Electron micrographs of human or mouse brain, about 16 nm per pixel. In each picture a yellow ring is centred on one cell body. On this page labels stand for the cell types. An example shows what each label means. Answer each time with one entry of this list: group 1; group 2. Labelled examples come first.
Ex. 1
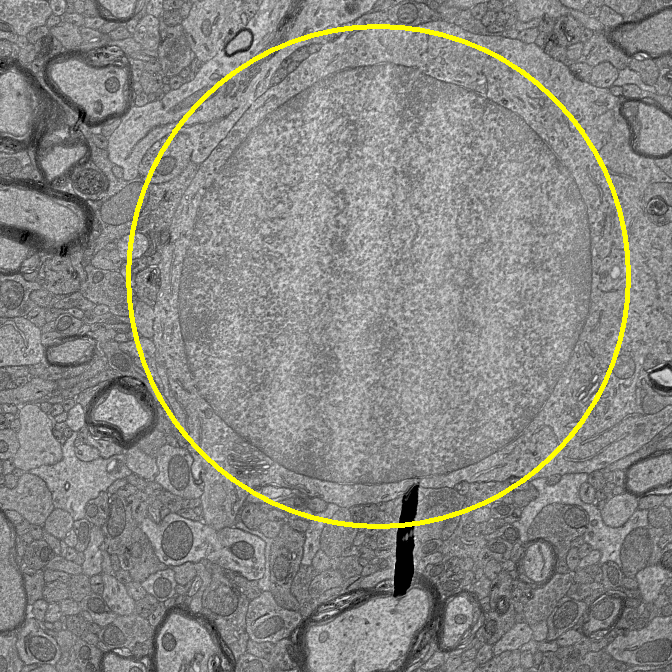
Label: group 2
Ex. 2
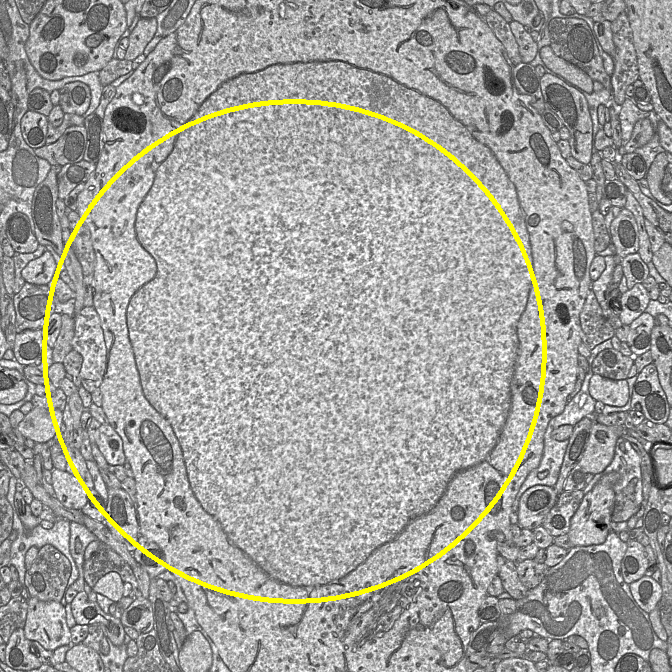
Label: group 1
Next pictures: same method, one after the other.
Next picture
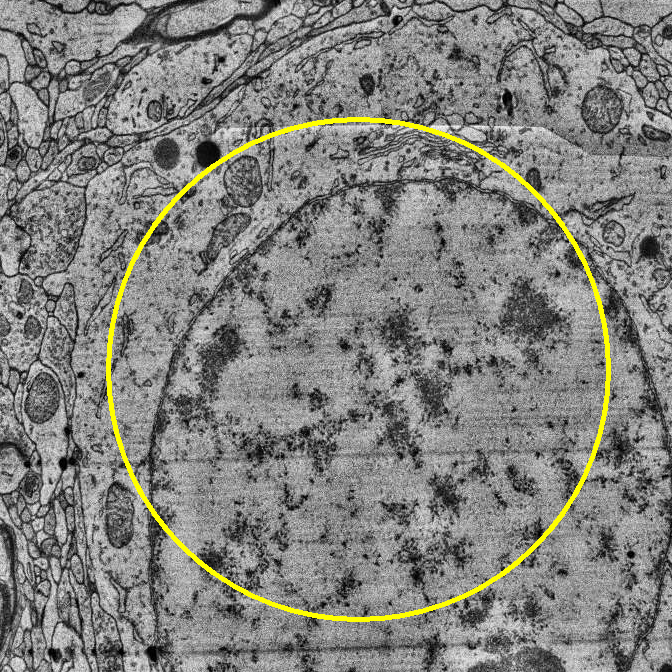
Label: group 1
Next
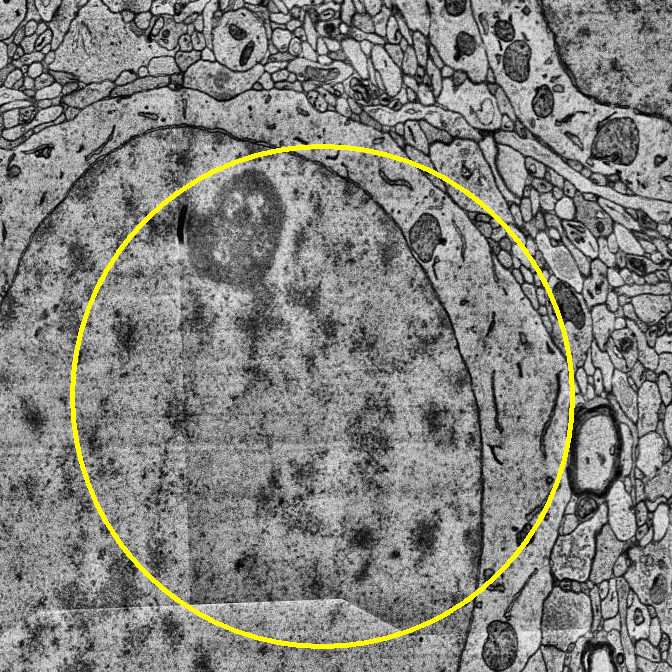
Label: group 1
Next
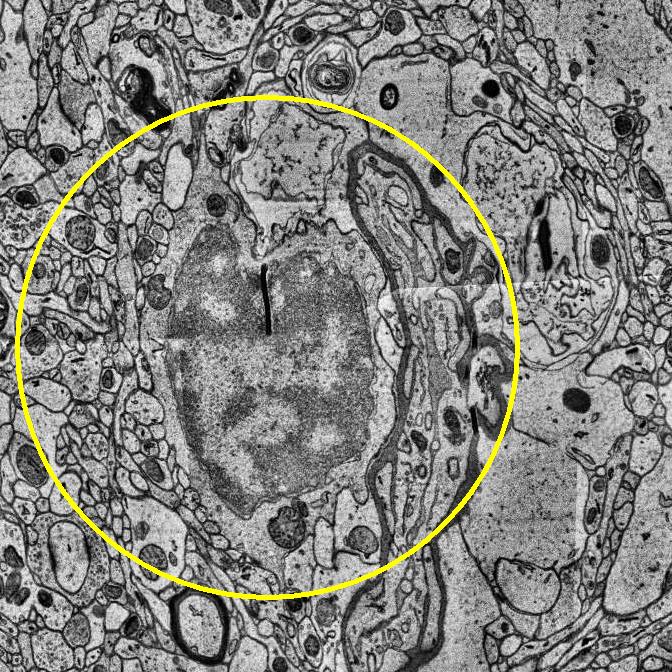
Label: group 2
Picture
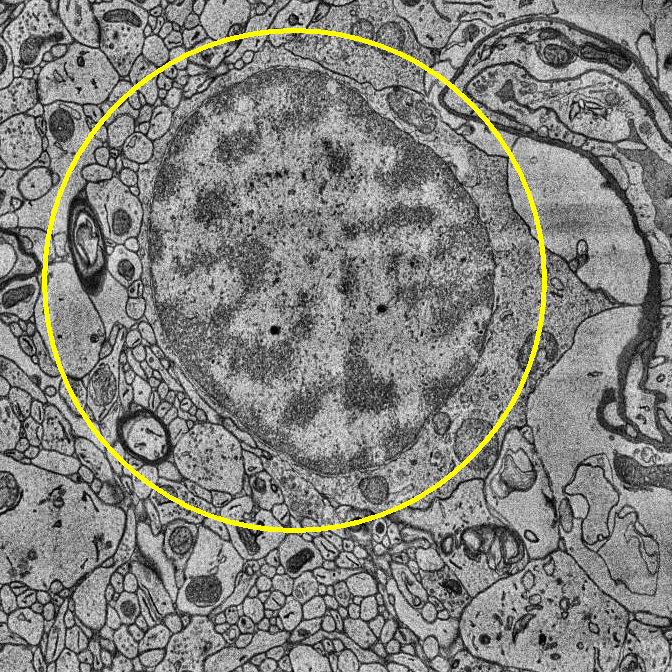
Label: group 2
